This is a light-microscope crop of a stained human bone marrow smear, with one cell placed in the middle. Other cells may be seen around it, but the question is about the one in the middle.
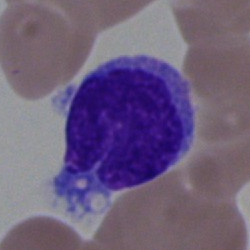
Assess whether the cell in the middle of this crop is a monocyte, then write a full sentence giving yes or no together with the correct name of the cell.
Yes, the cell at the crop's center is a monocyte.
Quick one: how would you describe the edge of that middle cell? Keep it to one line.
The outline of this cell is not smooth but ragged or drawn out into projections.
